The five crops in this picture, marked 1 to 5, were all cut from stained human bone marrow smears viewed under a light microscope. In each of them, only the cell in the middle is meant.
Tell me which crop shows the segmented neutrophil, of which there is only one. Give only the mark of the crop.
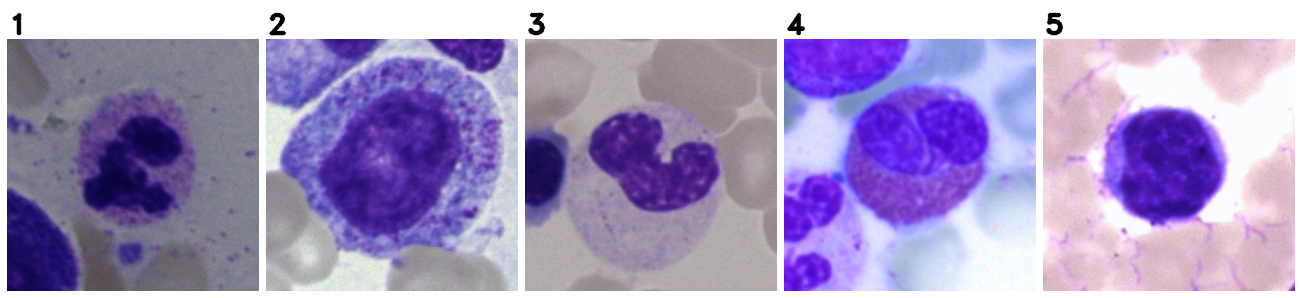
1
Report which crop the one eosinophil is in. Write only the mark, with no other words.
4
